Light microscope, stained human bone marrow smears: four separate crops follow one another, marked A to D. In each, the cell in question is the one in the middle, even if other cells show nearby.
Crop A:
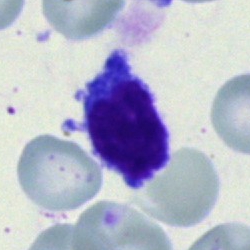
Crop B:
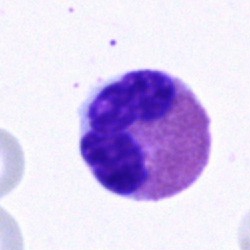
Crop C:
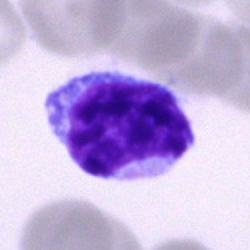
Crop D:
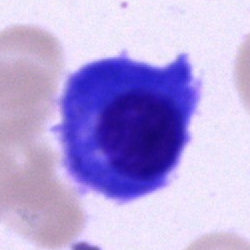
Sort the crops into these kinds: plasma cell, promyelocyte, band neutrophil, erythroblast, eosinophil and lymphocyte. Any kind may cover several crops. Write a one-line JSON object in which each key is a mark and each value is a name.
{"A": "lymphocyte", "B": "eosinophil", "C": "lymphocyte", "D": "plasma cell"}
